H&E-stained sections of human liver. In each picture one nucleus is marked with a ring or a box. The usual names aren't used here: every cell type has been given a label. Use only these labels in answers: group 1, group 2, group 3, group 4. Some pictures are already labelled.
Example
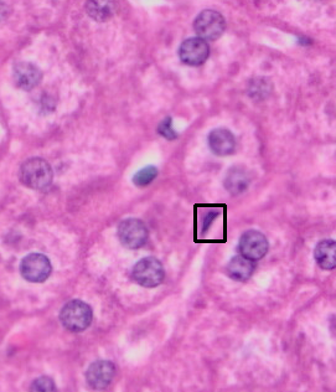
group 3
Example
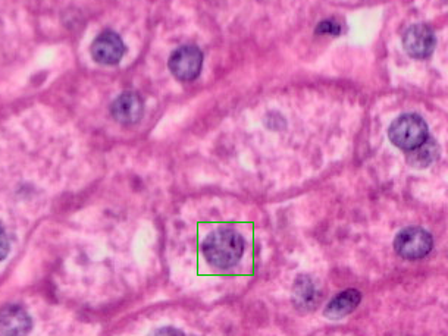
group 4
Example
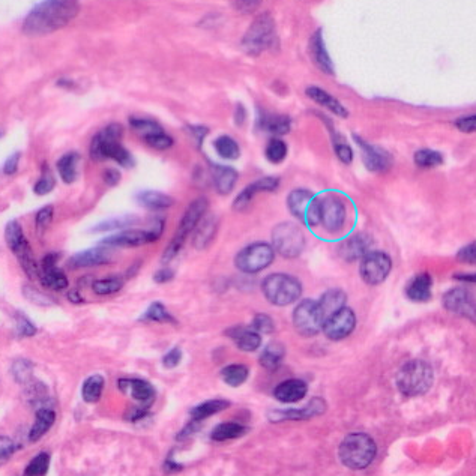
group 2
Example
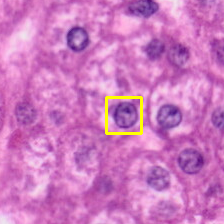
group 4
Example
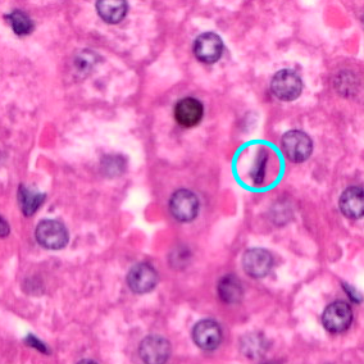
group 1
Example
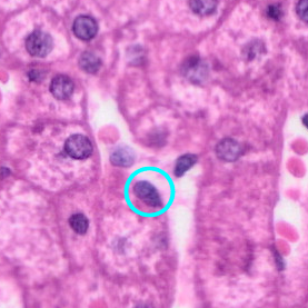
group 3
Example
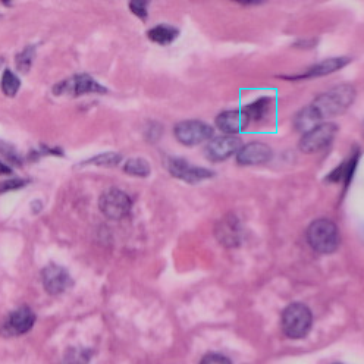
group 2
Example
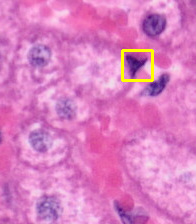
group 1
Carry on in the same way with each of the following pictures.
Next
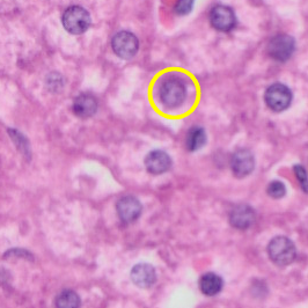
group 4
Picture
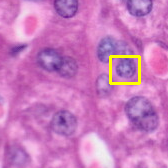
group 2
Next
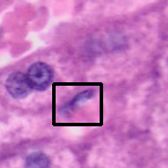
group 1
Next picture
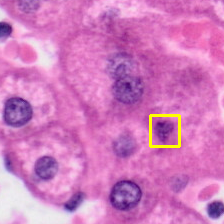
group 3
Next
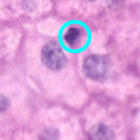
group 3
